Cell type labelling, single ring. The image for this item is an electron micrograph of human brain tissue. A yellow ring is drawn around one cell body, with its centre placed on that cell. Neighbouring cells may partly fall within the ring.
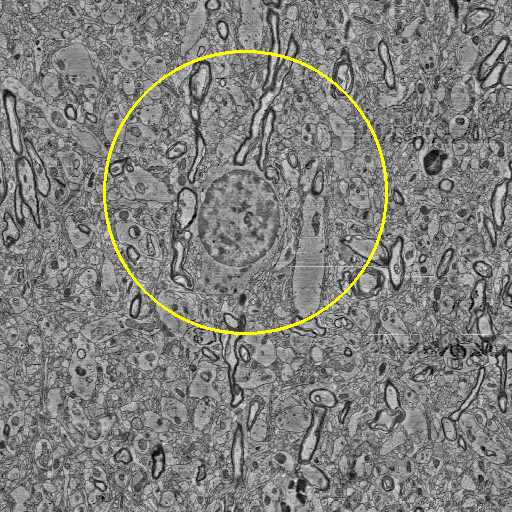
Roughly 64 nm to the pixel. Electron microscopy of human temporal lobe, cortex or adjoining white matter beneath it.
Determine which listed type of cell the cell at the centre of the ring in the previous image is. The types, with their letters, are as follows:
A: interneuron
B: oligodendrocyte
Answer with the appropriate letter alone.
B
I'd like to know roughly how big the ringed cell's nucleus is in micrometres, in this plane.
Approximately 6 micrometres across in this plane.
